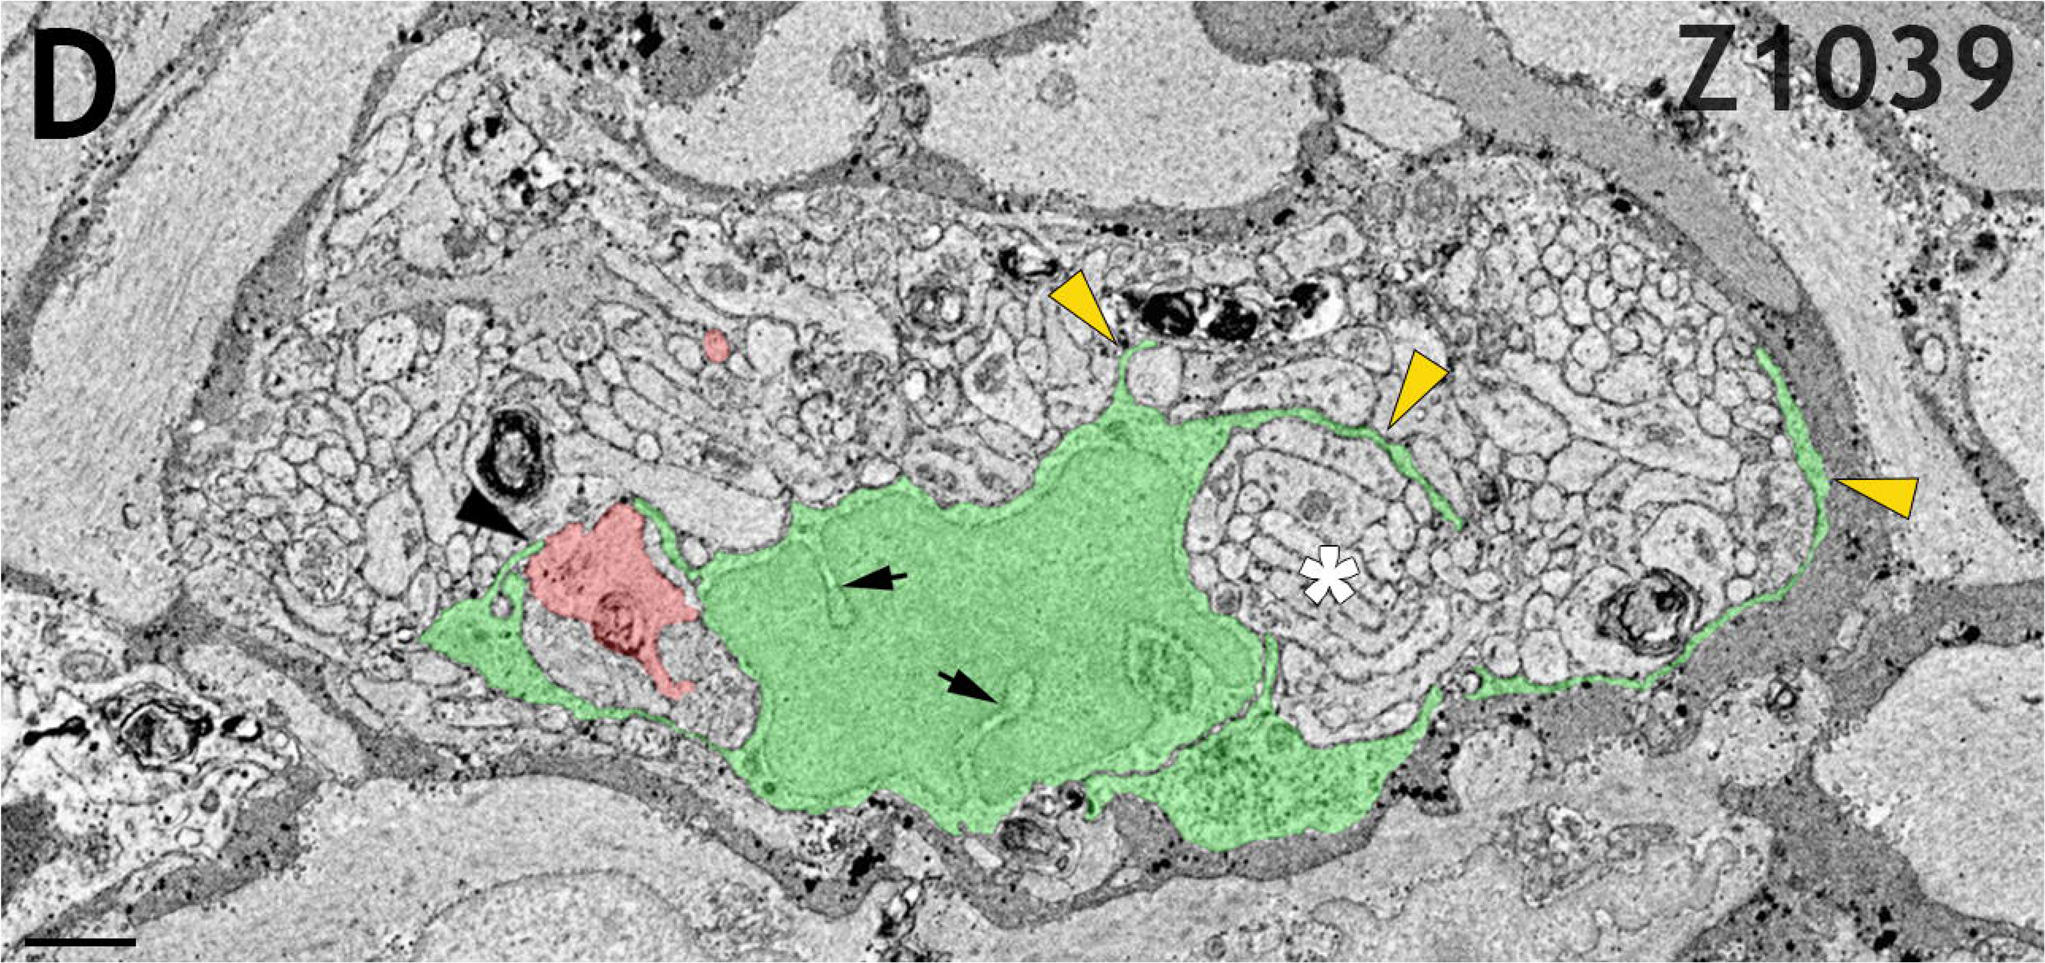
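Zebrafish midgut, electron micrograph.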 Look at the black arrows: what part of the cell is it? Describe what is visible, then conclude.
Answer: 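The arrows point to infoldings of an outline within the green-coloured cell body.
Nuclear crenelations.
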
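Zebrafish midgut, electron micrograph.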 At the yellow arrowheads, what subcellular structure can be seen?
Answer: Sheet-like extensions.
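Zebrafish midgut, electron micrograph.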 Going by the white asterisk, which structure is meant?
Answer: axon bundles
